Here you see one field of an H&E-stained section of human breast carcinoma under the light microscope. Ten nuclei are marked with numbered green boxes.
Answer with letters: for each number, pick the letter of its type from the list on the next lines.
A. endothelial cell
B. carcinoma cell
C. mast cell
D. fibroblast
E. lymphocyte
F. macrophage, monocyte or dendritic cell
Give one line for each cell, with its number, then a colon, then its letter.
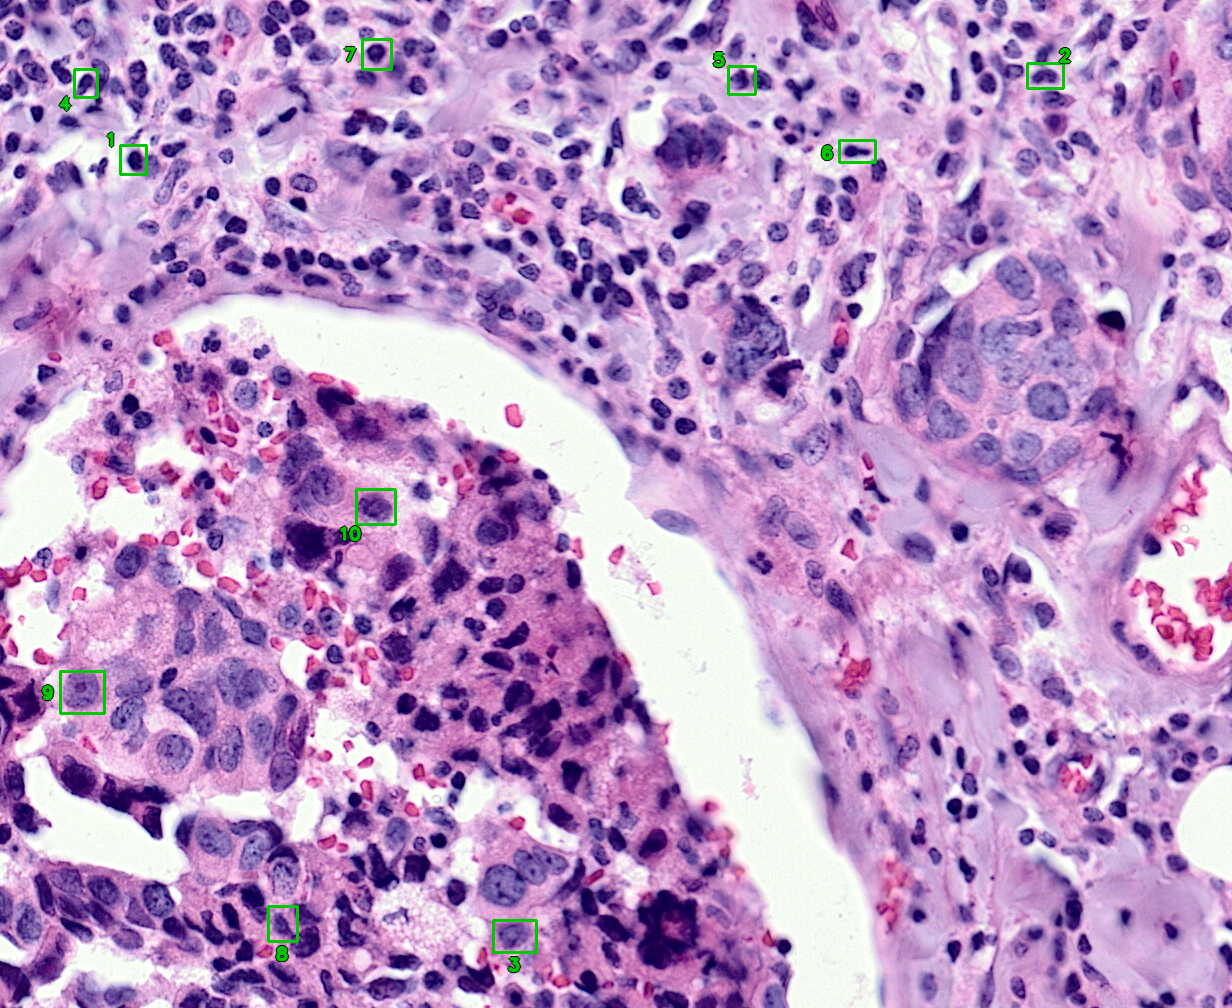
1: E
2: E
3: B
4: E
5: E
6: E
7: E
8: B
9: B
10: B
